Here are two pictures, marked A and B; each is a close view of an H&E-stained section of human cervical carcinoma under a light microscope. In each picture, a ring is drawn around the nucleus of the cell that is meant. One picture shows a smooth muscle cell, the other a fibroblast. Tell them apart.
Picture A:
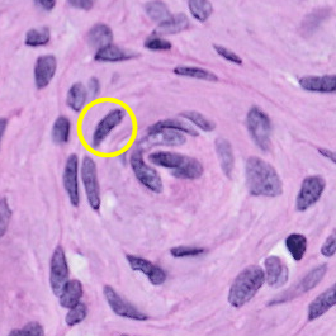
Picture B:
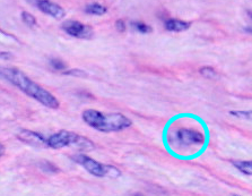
A: fibroblast
B: smooth muscle cell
